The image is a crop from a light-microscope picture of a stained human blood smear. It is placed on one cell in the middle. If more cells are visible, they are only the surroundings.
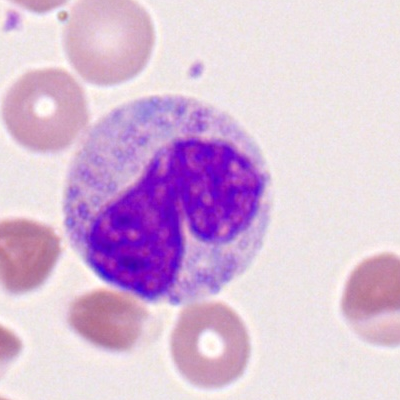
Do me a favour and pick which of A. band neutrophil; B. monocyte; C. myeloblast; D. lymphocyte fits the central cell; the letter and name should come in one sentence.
Correctly, option B names the cell in the middle a monocyte.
